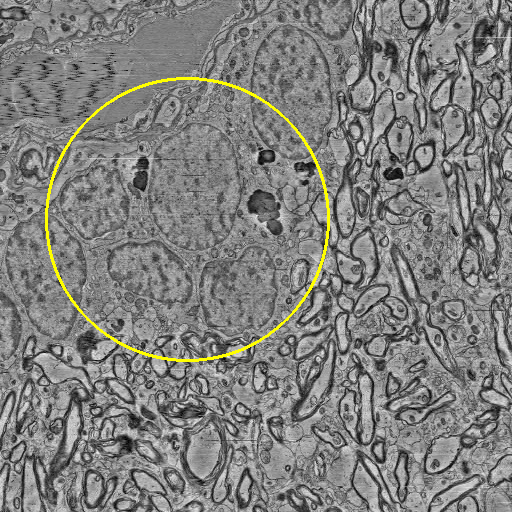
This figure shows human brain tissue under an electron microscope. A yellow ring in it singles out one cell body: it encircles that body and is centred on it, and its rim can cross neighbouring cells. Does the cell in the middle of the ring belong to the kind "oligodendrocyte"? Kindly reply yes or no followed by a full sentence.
Yes, the kind asked about is right for the cell centred in the figure's ring.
